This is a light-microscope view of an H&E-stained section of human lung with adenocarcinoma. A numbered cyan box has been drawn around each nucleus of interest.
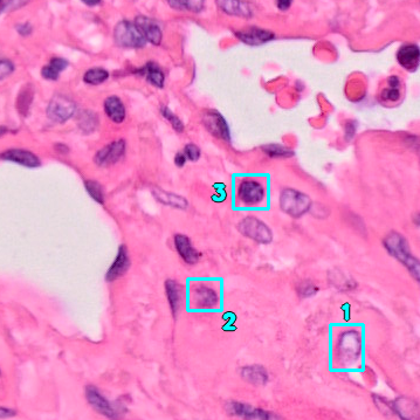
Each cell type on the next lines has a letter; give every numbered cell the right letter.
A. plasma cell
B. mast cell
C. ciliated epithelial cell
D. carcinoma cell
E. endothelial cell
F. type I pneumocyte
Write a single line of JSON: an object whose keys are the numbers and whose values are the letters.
{"1": "E", "2": "B", "3": "B"}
